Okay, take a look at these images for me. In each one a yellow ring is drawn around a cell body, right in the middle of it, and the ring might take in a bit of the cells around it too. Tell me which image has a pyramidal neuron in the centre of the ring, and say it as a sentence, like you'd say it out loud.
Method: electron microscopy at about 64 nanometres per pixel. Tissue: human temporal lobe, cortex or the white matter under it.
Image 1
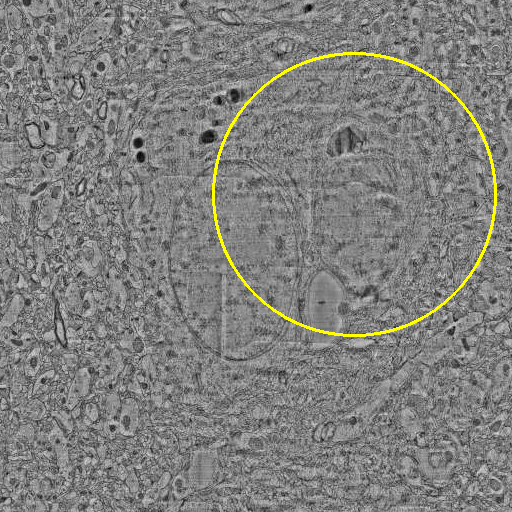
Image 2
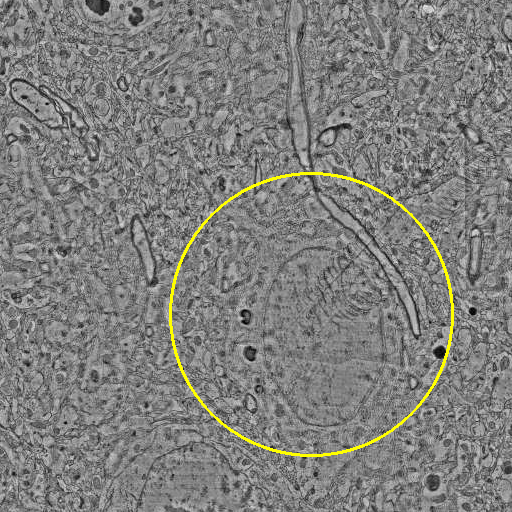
Image 2 is the one with it in the centre of the ring.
